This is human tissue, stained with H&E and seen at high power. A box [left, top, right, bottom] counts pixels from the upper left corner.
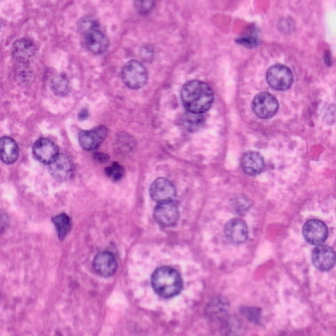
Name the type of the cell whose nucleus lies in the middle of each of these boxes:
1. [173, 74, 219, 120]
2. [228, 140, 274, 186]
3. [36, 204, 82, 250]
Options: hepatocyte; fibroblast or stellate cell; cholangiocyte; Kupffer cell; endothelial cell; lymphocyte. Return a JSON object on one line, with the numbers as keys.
{"1": "hepatocyte", "2": "hepatocyte", "3": "endothelial cell"}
